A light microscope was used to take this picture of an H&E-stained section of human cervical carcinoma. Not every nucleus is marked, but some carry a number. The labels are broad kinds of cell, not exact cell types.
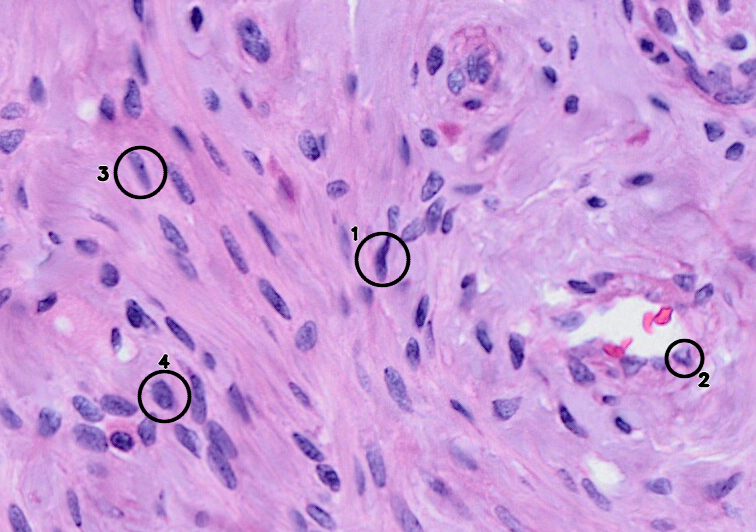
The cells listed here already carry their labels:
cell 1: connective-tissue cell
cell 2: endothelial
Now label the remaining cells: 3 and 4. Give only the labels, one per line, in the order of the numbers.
connective-tissue cell
connective-tissue cell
